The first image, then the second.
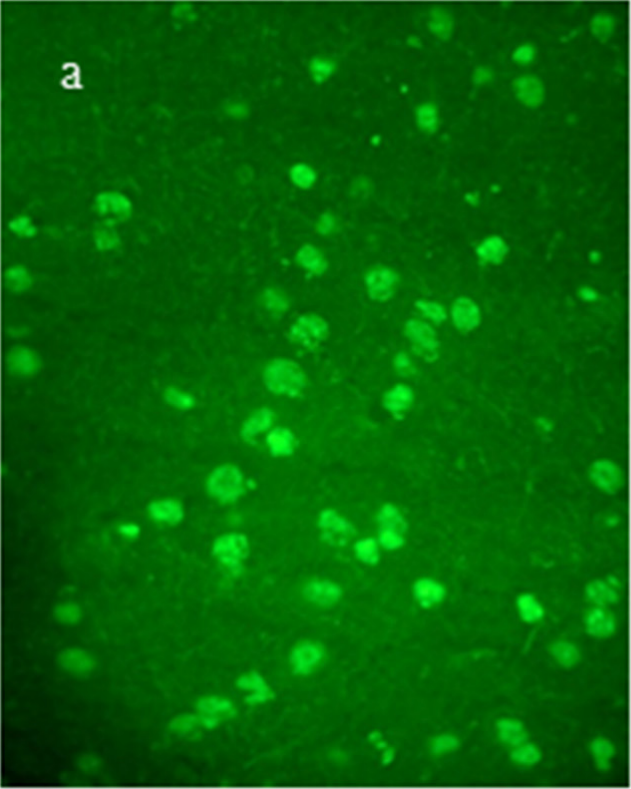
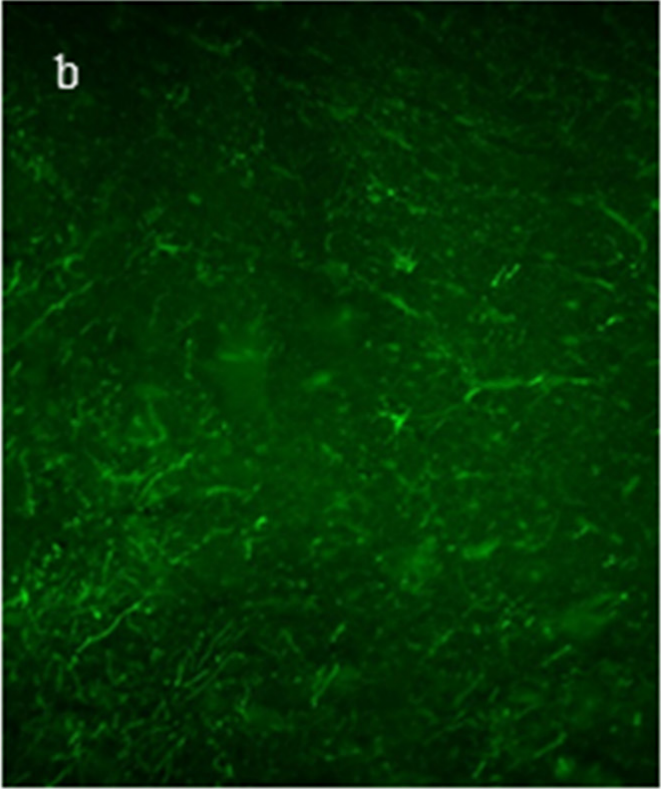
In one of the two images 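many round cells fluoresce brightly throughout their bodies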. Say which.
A: The first image.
